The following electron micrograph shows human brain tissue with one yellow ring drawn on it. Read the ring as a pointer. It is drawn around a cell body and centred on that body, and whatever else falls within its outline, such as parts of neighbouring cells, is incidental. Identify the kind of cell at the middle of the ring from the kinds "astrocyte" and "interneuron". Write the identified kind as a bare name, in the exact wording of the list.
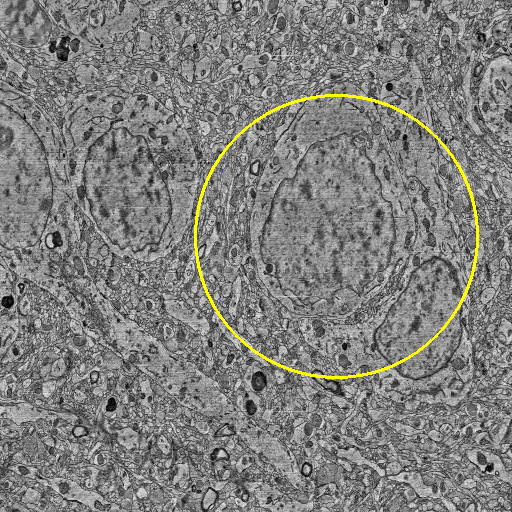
interneuron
